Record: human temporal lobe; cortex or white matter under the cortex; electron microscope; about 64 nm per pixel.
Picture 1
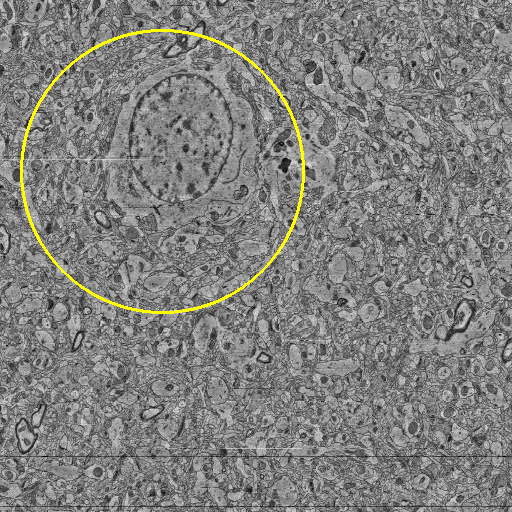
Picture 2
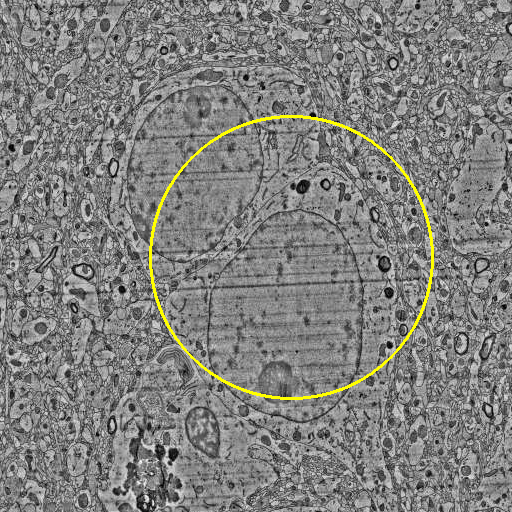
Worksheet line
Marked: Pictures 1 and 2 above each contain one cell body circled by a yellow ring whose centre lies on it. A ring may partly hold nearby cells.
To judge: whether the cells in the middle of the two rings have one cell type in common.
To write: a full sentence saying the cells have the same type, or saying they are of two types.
The cells in the middle of the rings in Picture 1 and Picture 2 are of two types.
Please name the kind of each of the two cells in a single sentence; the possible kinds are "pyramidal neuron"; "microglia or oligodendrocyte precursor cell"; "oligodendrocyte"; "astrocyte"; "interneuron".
In the first picture the ring is centred on an astrocyte, and in the second on a pyramidal neuron.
